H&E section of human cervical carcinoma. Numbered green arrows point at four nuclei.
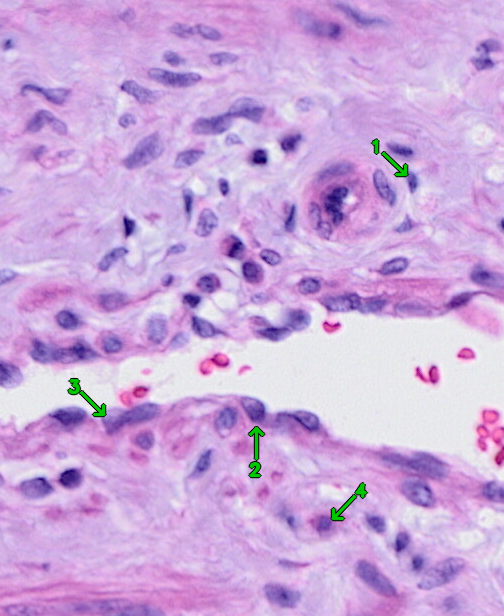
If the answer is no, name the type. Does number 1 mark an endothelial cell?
No, it is a fibroblast.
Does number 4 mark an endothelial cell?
No, it is a smooth muscle cell.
